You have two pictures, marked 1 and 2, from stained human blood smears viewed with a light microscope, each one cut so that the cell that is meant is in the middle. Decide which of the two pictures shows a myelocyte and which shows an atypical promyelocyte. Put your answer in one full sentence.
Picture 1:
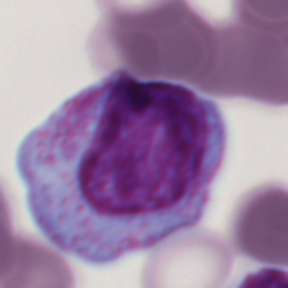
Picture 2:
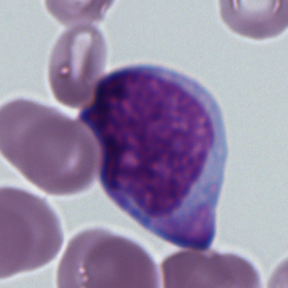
Picture 1 is of a myelocyte, and picture 2 is of an atypical promyelocyte.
